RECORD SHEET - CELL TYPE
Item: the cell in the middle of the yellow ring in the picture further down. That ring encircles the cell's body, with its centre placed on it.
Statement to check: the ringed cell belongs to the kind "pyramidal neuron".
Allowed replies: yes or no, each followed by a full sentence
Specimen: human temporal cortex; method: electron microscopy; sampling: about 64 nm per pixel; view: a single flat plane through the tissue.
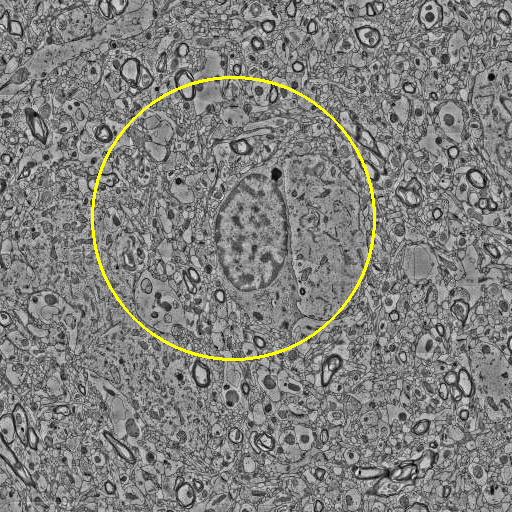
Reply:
No, the cell held at the centre of the ring in the picture is of a different kind.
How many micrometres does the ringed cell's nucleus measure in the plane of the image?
About 7 by 5 micrometres; in this plane the nucleus is clearly longer than it is wide.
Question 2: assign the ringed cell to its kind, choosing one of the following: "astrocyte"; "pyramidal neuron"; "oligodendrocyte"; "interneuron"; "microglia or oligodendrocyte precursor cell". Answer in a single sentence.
The cell ringed in the picture is an oligodendrocyte.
